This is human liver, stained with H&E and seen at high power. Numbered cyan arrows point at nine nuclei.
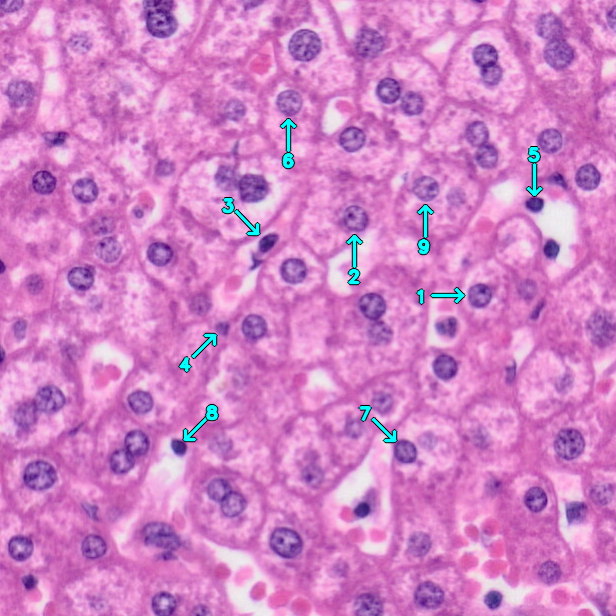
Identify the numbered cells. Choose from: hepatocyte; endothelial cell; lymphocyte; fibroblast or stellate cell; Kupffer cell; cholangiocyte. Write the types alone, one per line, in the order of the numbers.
hepatocyte
hepatocyte
lymphocyte
fibroblast or stellate cell
lymphocyte
hepatocyte
hepatocyte
lymphocyte
hepatocyte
